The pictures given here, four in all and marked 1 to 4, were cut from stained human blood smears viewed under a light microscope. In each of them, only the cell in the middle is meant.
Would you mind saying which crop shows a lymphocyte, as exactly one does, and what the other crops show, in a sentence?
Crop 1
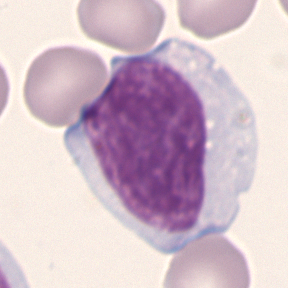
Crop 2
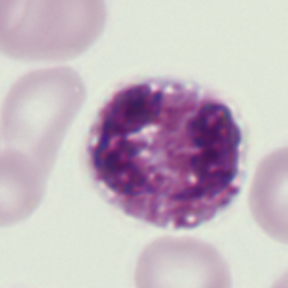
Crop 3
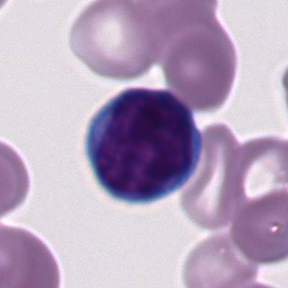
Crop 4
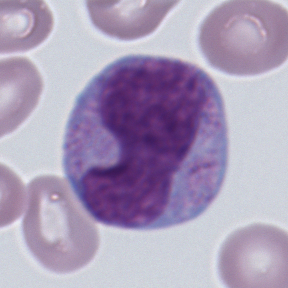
On the one hand crop 3 shows a lymphocyte; on the other, crop 1 is a myeloblast, crop 2 is an eosinophil and crop 4 is an atypical promyelocyte.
